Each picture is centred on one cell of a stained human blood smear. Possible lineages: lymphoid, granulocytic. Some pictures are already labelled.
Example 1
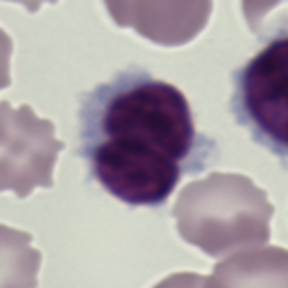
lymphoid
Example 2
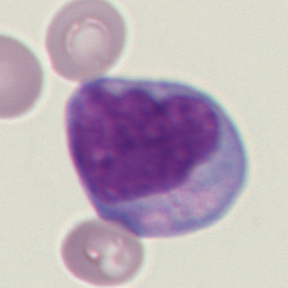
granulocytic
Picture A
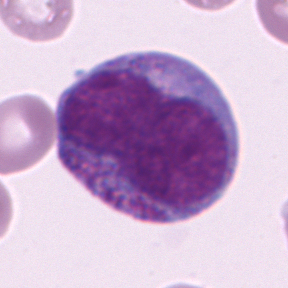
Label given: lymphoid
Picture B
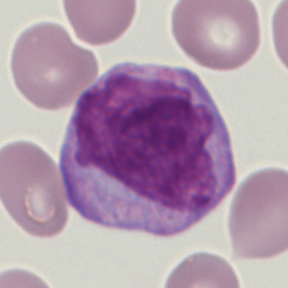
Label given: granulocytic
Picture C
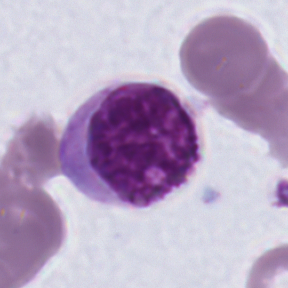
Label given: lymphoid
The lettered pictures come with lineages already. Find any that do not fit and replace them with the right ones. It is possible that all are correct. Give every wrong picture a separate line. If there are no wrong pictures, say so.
A: granulocytic, not lymphoid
